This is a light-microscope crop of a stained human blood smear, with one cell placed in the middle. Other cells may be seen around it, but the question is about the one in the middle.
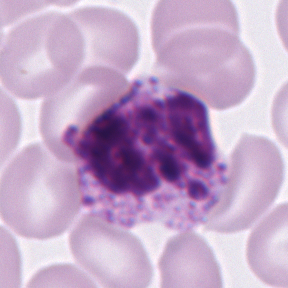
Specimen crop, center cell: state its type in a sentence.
The cell marked by its central position in the crop is a basophil.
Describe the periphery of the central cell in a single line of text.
Its outline is ragged or drawn out into projections, not smooth.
